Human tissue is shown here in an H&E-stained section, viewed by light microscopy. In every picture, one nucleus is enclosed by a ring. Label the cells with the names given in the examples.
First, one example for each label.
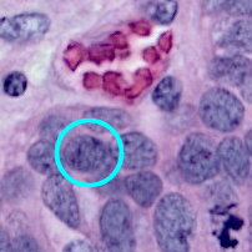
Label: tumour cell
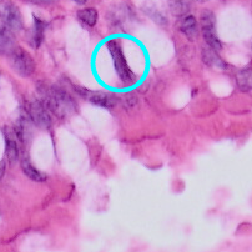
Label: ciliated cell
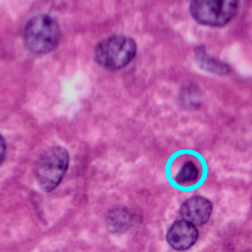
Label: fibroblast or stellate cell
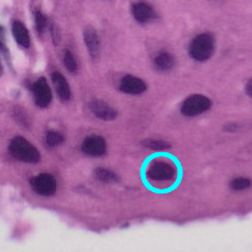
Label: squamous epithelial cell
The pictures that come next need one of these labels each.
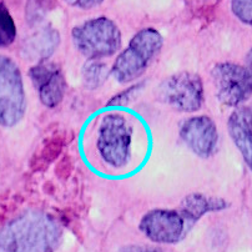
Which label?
tumour cell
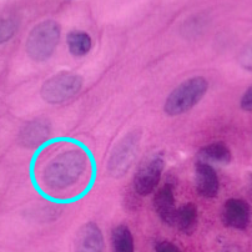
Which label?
squamous epithelial cell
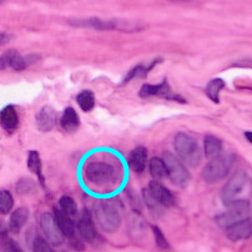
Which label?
ciliated cell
